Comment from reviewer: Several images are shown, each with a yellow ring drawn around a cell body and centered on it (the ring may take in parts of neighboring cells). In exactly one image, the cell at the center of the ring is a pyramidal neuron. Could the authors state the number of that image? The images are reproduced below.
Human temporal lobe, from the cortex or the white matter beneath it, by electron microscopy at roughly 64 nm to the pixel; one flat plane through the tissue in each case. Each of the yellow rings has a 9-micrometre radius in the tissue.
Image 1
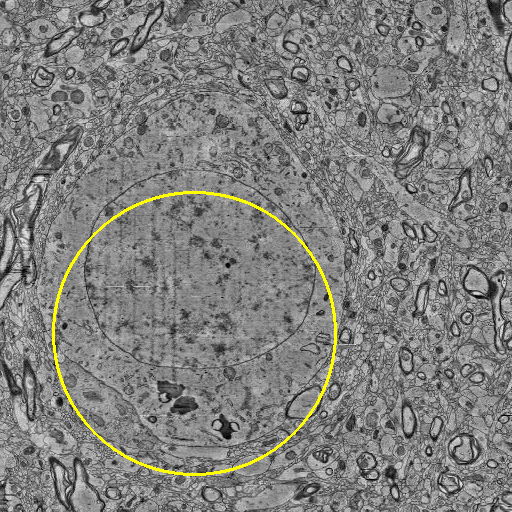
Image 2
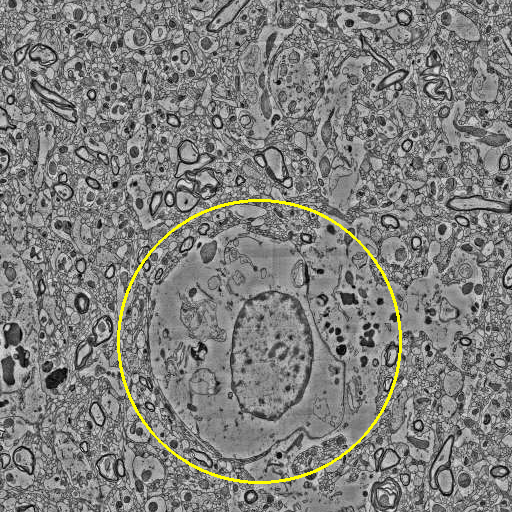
1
